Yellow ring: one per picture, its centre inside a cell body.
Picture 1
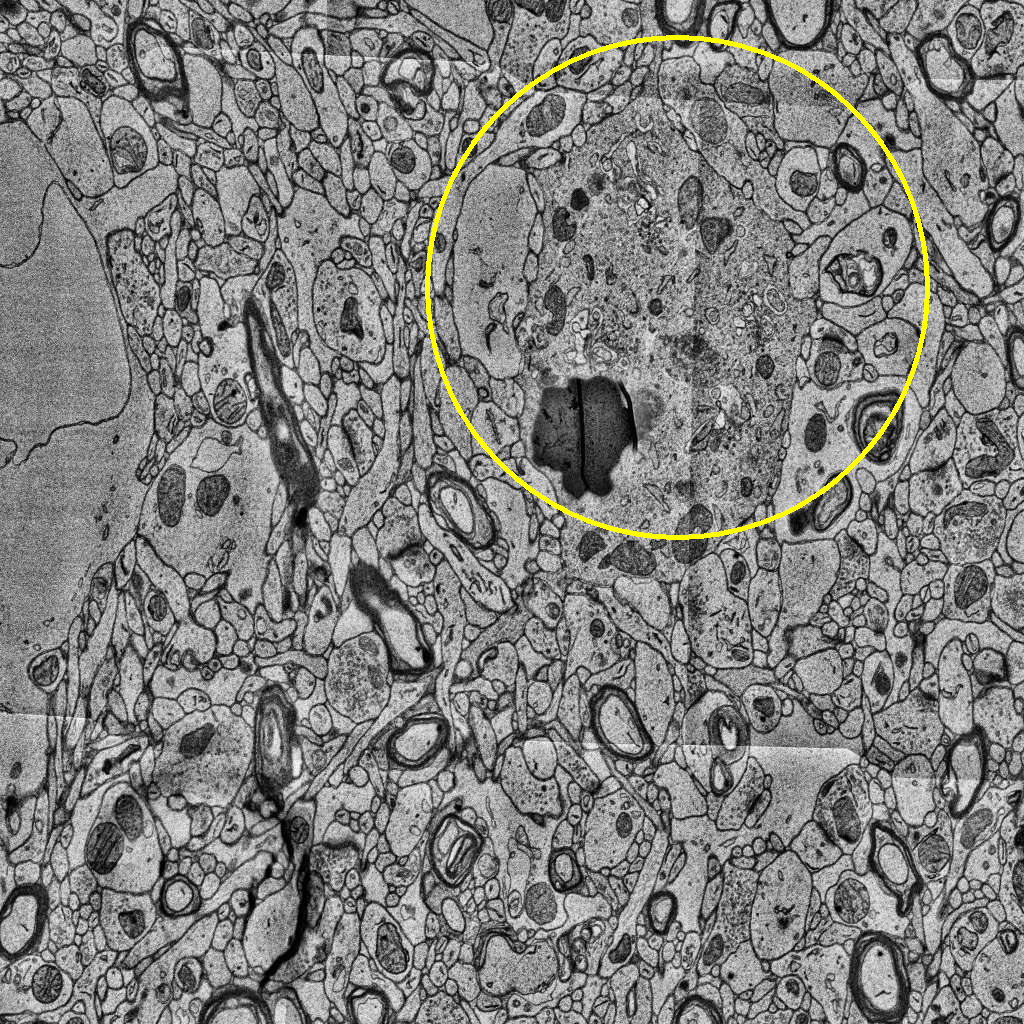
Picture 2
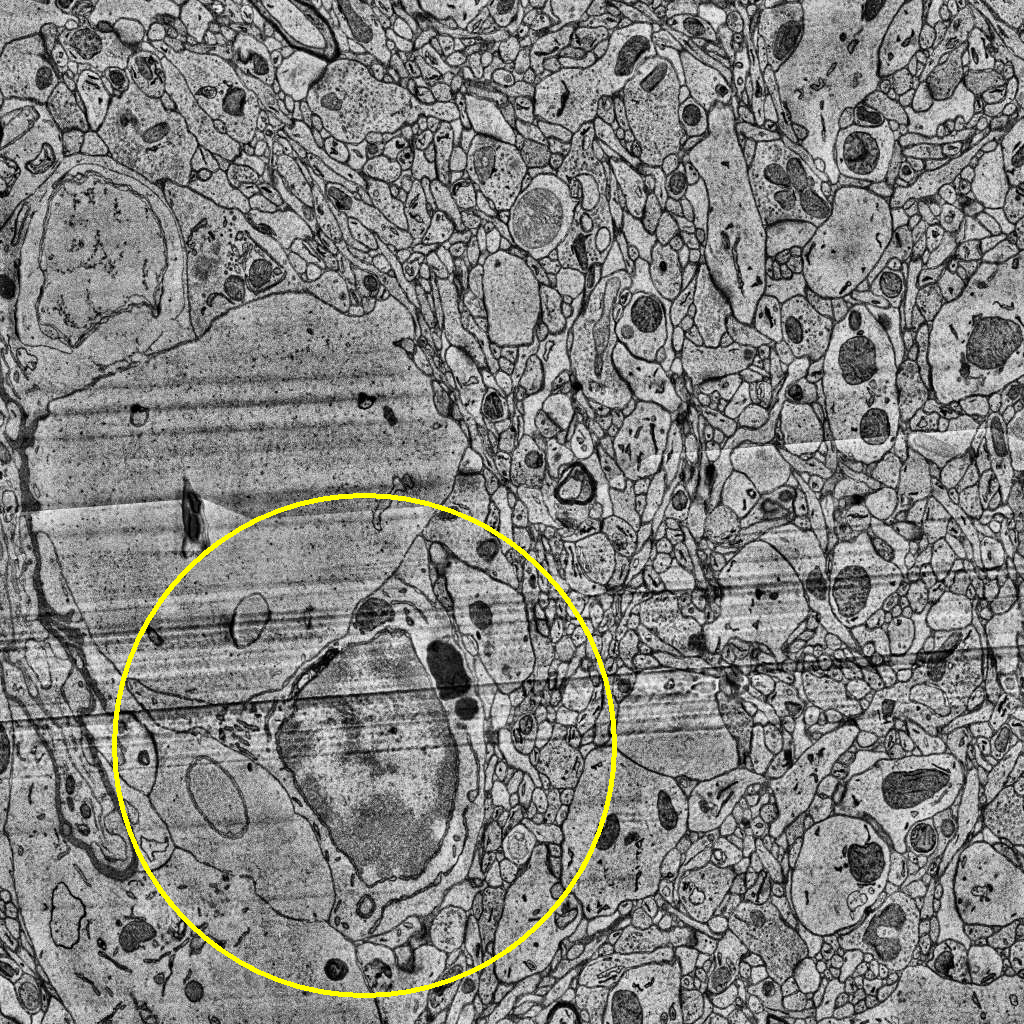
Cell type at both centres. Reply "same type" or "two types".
two types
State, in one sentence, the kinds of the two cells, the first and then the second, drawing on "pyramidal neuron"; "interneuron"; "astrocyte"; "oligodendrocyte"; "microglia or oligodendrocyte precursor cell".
At the centre of the first ring sits an oligodendrocyte, and at the centre of the second sits a microglial cell or oligodendrocyte precursor cell.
